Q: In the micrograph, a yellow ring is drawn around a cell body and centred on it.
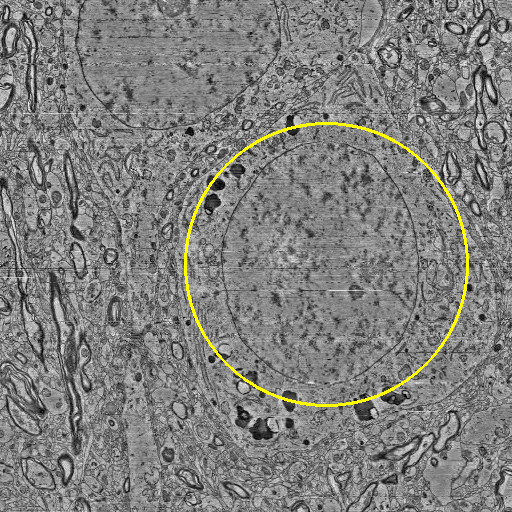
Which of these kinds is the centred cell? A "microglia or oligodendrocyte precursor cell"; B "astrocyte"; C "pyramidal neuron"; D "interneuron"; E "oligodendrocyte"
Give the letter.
C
